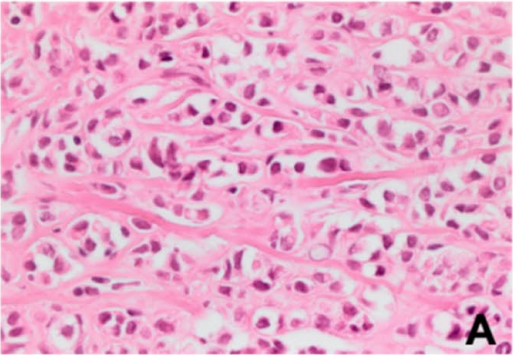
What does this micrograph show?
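The cells have round to oval dark nuclei and scant pale cytoplasm, often with clear spaces around them, and thin pink fibrous strands run between the rows. No glands are formed.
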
